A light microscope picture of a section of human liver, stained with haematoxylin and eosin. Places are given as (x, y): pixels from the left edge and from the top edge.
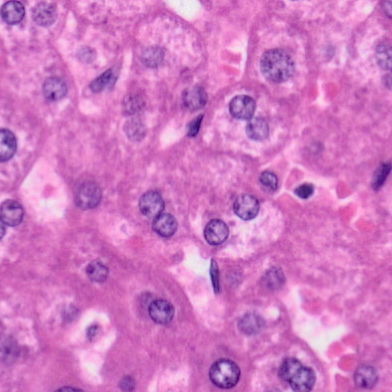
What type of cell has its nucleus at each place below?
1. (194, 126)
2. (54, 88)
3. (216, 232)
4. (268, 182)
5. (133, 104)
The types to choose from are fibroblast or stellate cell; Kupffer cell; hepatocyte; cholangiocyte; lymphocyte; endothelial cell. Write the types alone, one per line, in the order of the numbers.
fibroblast or stellate cell
hepatocyte
hepatocyte
Kupffer cell
hepatocyte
